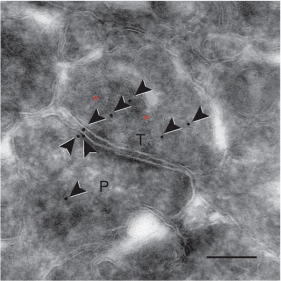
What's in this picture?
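This electron micrograph shows a synapse, with a presynaptic terminal apposed to a postsynaptic element. Along the contact between the two compartments the membranes run in parallel, and the postsynaptic membrane shows an electron-dense thickening. Small black gold particles, indicated by arrowheads, lie mostly over the vesicle-filled terminal, with a few on the other side of the contact.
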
